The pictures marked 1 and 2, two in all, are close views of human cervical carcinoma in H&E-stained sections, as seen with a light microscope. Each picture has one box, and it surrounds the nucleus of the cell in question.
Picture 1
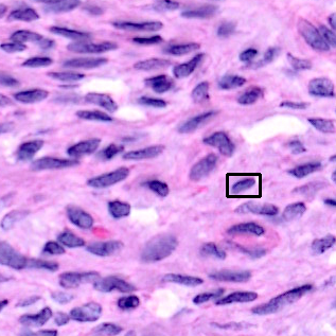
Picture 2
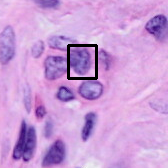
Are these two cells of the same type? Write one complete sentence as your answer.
No, they differ: the cell is a fibroblast in picture 1 and an endothelial cell in picture 2.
